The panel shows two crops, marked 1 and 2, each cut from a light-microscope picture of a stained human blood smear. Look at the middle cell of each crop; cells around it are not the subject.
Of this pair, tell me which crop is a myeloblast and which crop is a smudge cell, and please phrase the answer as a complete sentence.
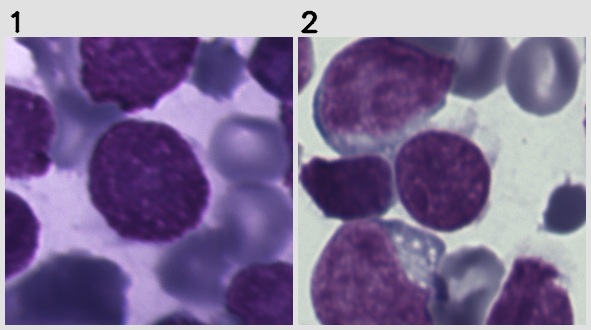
Crop 1 is occupied by a smudge cell, and crop 2 is occupied by a myeloblast.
